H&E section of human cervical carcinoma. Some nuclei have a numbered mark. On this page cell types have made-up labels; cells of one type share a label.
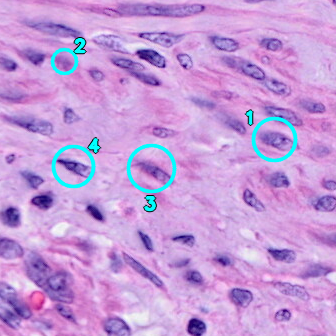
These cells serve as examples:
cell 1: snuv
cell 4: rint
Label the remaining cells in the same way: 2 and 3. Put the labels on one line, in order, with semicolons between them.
snuv; snuv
